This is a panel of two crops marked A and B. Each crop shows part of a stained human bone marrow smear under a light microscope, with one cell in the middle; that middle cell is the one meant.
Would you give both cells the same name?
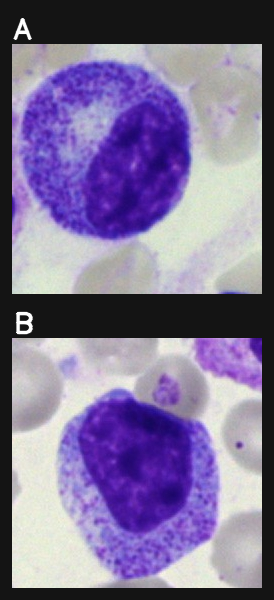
no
